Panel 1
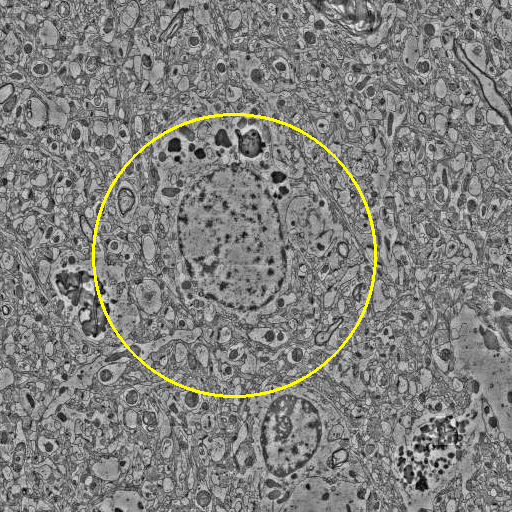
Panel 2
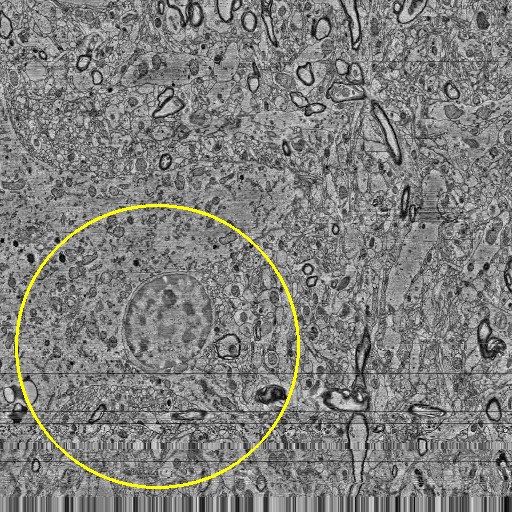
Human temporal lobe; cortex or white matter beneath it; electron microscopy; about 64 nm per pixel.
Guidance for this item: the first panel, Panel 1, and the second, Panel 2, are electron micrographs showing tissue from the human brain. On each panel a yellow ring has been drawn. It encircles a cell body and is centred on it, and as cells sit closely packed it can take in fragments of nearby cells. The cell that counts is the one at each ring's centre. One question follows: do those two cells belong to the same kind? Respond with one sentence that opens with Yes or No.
No, the cells at the ring centres in Panel 1 and Panel 2 are of two kinds.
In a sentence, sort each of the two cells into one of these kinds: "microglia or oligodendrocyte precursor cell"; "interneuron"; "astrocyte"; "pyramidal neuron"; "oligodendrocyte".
The first of the two cells is an astrocyte, and the second is an oligodendrocyte.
